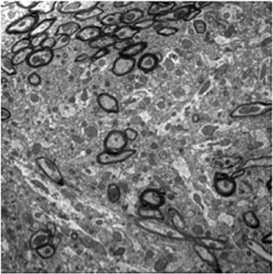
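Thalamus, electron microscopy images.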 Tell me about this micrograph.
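The myelinated axons are most densely packed along the upper edge and are scattered more sparsely through the rest of the field. Between them lies a fine-grained mesh of small unmyelinated processes of moderate density.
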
